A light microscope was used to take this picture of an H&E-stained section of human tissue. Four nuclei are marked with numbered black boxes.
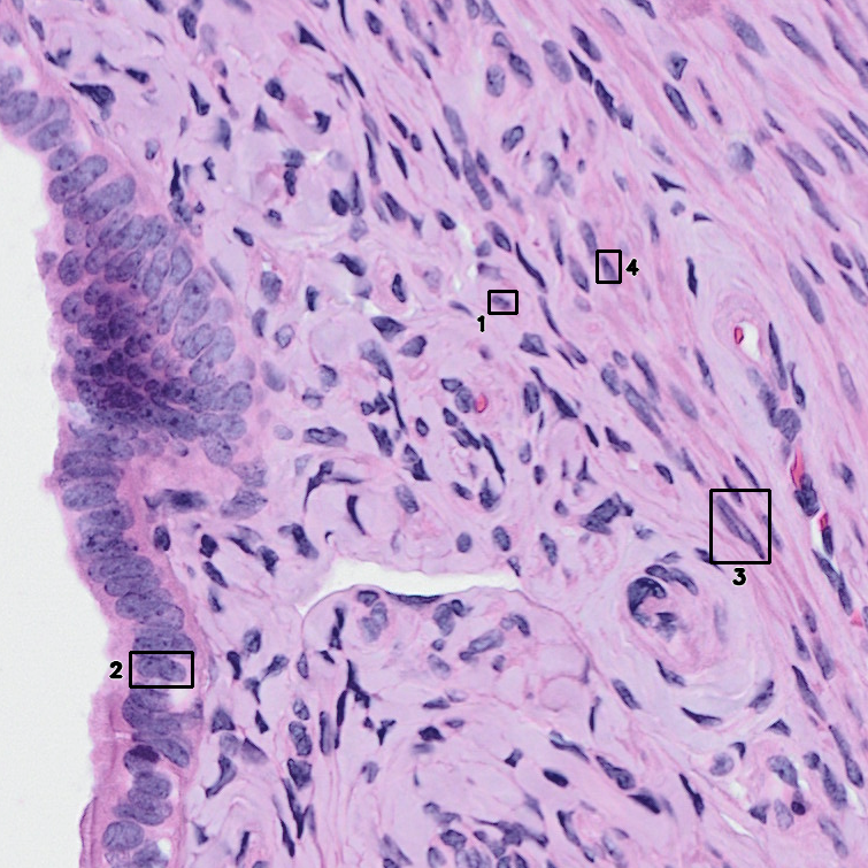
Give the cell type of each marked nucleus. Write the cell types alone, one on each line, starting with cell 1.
smooth muscle cell
carcinoma cell
smooth muscle cell
smooth muscle cell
